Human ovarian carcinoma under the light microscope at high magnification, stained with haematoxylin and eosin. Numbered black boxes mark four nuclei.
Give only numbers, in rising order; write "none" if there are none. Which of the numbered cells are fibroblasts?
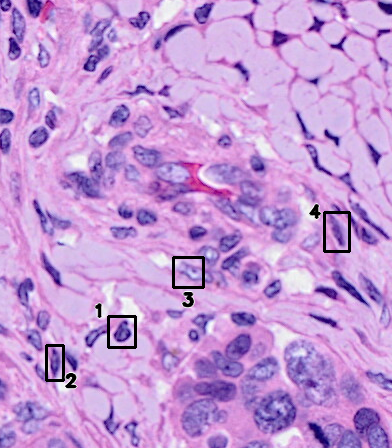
2, 3, 4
